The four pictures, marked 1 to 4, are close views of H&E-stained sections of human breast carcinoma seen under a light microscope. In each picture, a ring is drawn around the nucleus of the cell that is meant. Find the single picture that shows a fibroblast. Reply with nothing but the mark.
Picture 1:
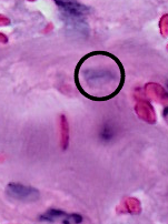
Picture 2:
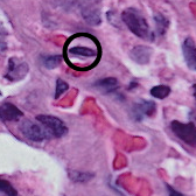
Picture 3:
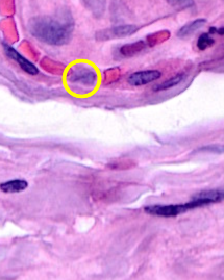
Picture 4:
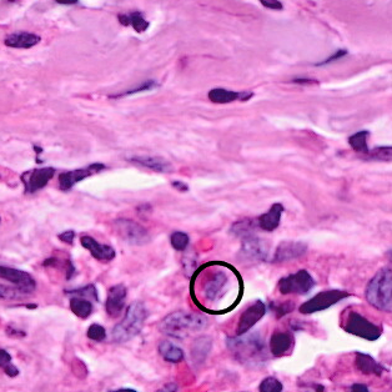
1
